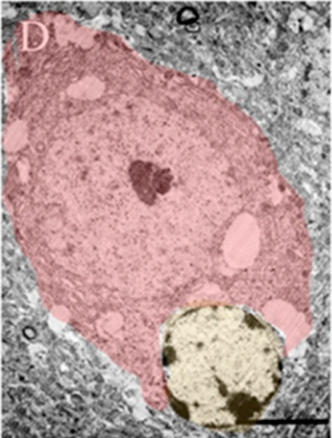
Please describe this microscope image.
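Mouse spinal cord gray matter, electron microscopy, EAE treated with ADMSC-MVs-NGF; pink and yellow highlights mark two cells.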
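The neuron has abundant finely granular cytoplasm containing a few pale vacuole-like spaces, and a large pale nucleus with a dark, prominent nucleolus. The lymphocyte is round and almost entirely taken up by its nucleus, whose dark chromatin is clumped along the nuclear rim. Around them lies dense neuropil with scattered small profiles.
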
